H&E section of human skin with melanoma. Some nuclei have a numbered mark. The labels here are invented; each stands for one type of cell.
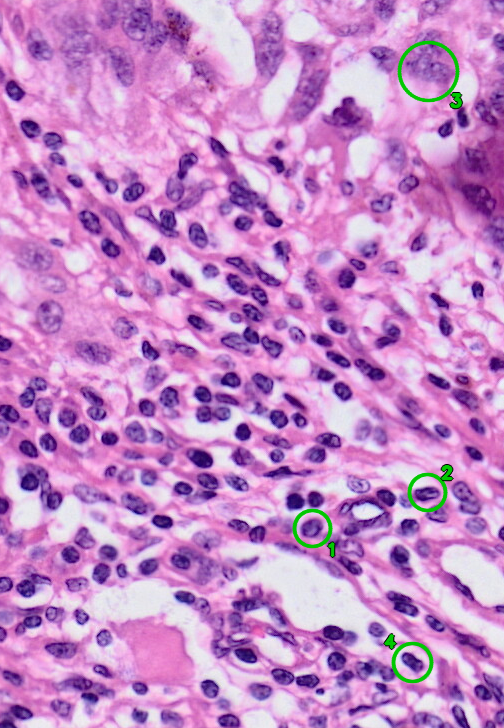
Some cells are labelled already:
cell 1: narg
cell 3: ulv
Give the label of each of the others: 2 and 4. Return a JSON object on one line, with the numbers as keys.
{"2": "narg", "4": "narg"}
